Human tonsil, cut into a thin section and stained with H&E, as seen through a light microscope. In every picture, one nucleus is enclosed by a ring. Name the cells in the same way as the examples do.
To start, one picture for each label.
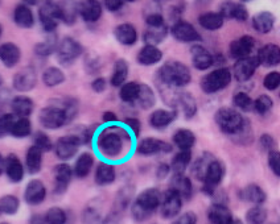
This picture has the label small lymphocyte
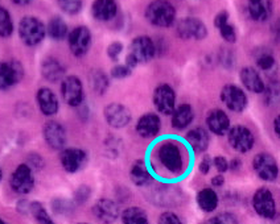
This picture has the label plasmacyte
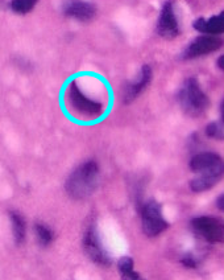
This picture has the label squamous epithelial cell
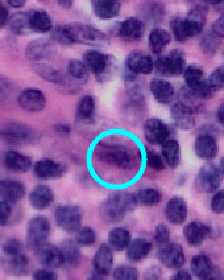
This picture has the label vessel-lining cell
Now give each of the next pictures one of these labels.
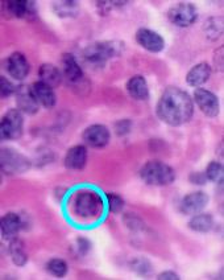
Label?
plasmacyte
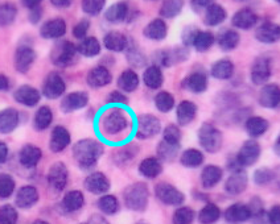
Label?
small lymphocyte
